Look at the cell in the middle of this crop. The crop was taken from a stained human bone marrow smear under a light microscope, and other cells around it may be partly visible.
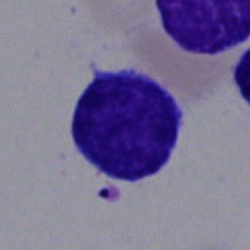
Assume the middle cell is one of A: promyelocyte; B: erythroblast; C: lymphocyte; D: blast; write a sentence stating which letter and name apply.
The best answer is option C, since the cell in the middle is a lymphocyte.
